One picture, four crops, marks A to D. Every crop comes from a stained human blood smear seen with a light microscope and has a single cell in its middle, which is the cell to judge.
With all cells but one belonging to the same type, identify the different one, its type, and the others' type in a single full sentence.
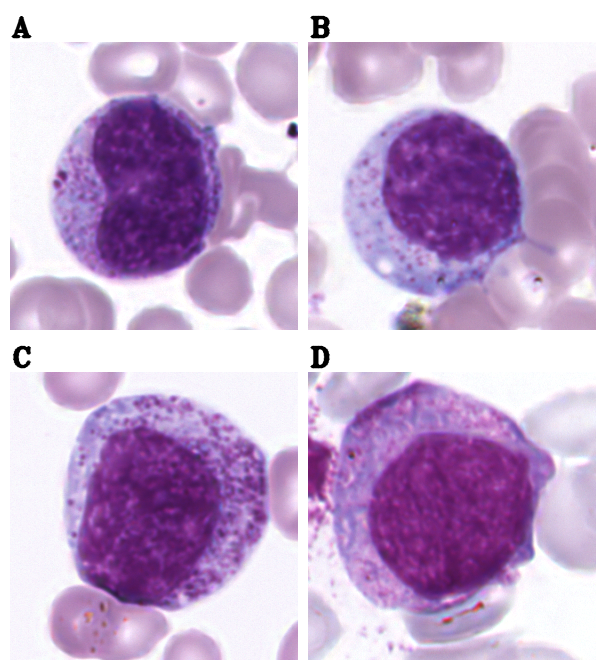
Whereas the other crops show promyelocytes, crop A is a myelocyte.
